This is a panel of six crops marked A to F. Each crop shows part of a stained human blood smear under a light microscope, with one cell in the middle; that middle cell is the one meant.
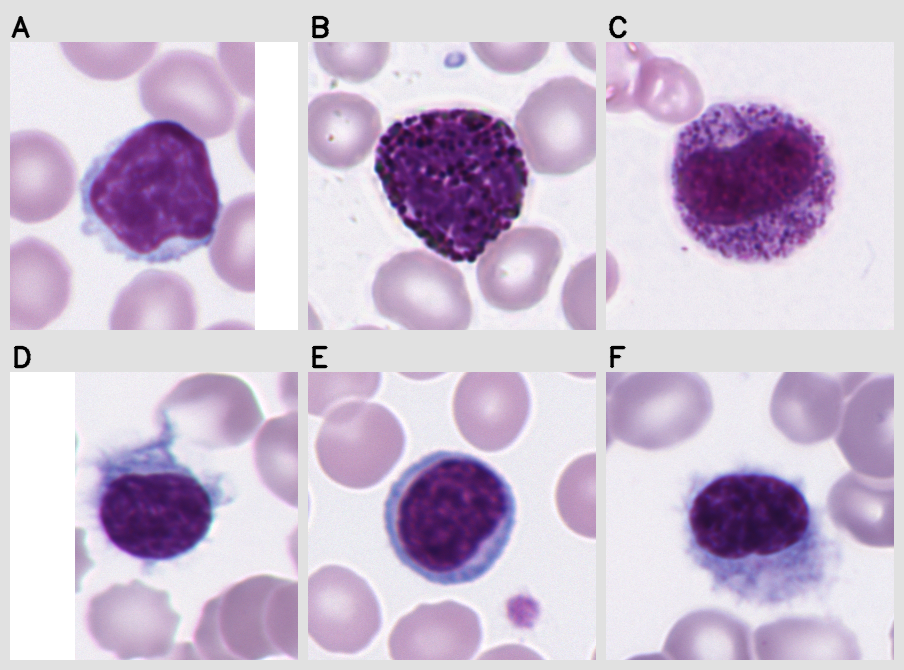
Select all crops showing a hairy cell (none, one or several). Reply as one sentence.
Shown in the centre of crops D and F are hairy cells.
